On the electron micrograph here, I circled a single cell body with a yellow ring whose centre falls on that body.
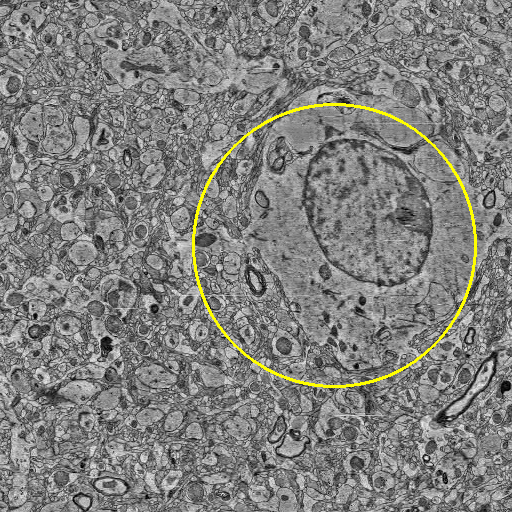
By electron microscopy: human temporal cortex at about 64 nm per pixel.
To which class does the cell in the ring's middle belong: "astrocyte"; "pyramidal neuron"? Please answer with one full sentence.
In this picture, the cell body circled at the ring's centre belongs to an astrocyte.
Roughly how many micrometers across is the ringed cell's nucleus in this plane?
Approximately 10 by 8 micrometers in this plane.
